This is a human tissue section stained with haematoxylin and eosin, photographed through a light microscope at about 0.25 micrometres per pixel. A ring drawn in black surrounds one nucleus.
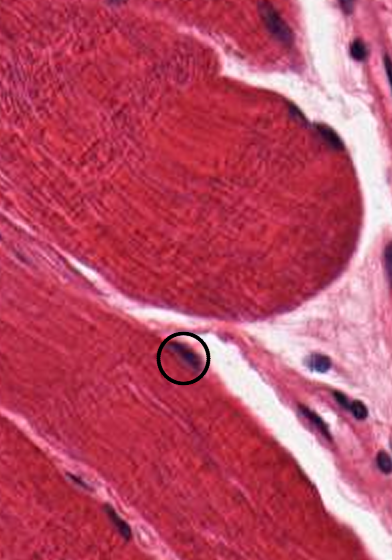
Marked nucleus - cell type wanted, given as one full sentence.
In this image, the nucleus that is marked belongs to a skeletal muscle fibre.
